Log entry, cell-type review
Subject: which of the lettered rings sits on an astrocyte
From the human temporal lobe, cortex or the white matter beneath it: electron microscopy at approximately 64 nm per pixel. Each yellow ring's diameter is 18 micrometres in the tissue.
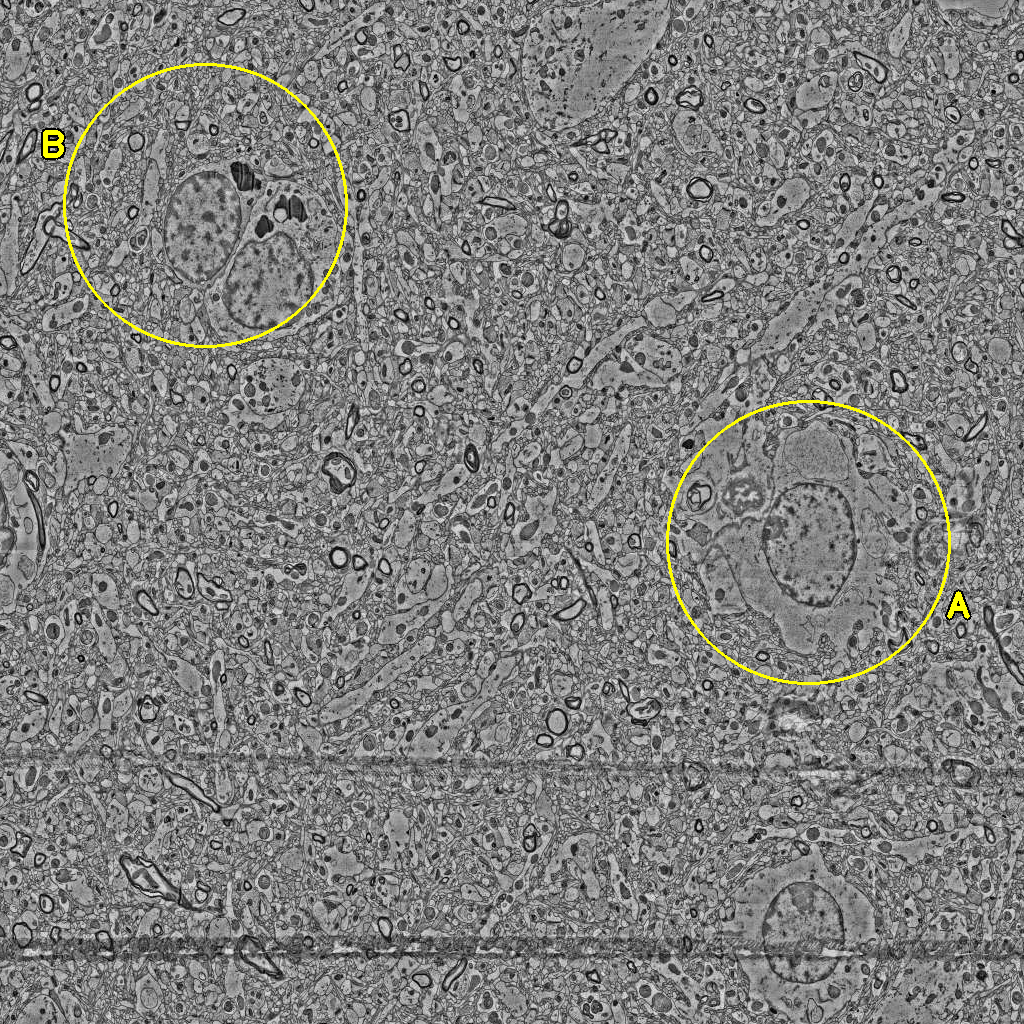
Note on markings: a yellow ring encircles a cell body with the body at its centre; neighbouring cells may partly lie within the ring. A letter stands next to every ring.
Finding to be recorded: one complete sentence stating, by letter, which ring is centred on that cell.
The cell sits at the centre of ring A.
